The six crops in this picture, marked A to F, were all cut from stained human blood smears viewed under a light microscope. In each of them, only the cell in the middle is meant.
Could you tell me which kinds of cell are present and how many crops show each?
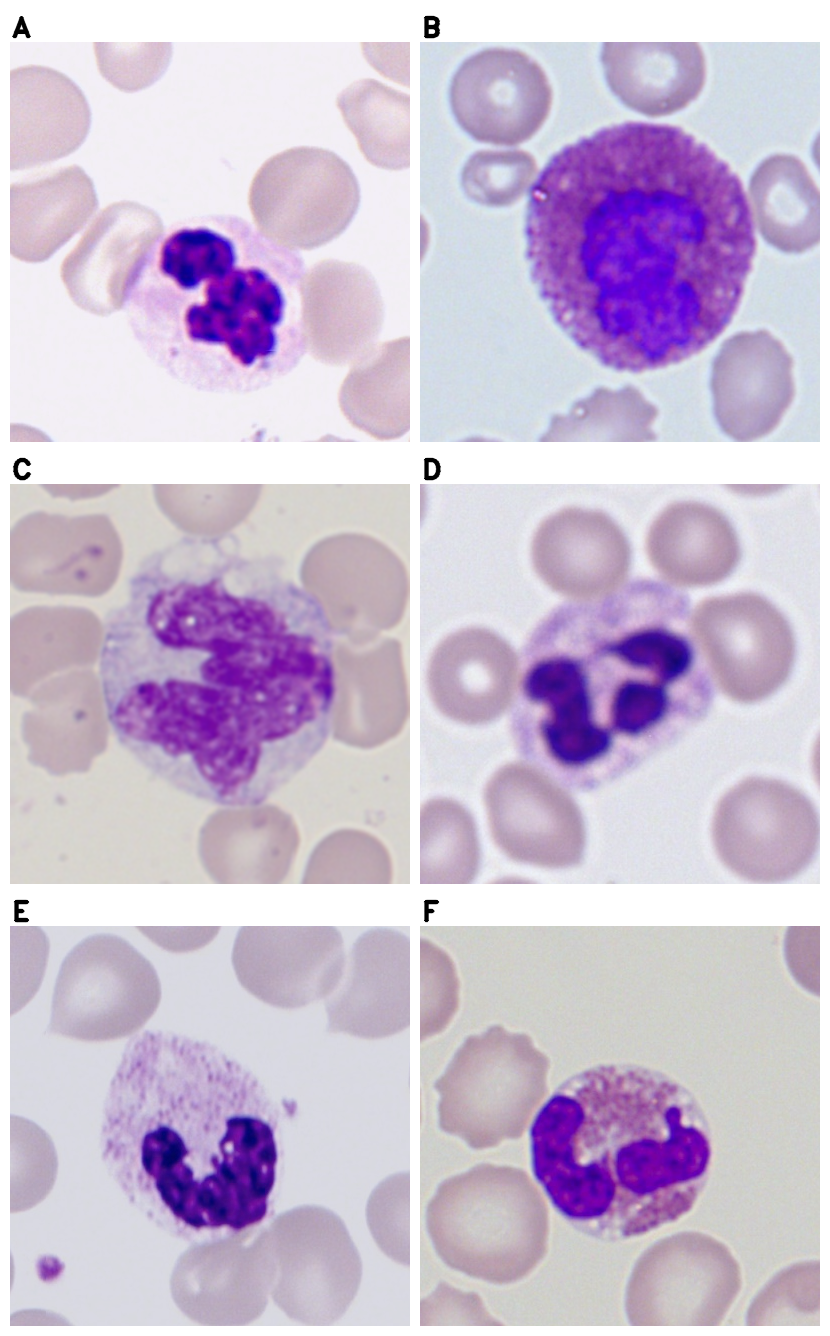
neutrophil: 3
eosinophil: 2
monocyte: 1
